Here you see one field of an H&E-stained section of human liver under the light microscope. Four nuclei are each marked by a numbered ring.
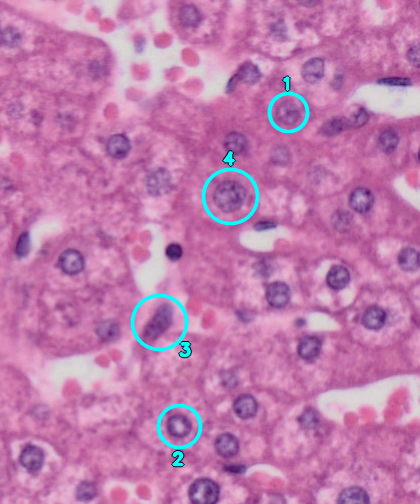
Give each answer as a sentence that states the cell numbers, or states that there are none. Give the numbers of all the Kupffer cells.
In this set of numbered cells, only cell 3 is a Kupffer cell.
